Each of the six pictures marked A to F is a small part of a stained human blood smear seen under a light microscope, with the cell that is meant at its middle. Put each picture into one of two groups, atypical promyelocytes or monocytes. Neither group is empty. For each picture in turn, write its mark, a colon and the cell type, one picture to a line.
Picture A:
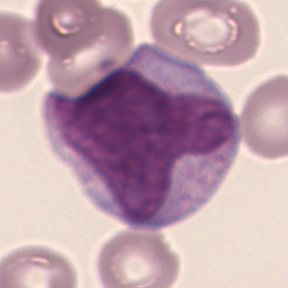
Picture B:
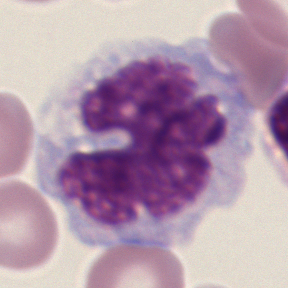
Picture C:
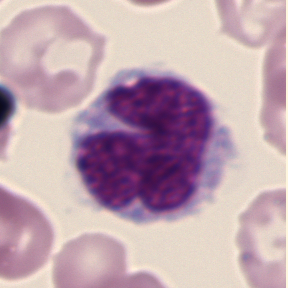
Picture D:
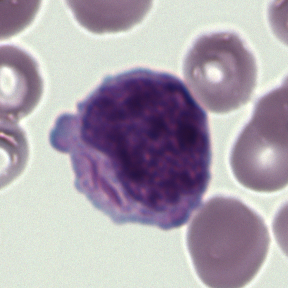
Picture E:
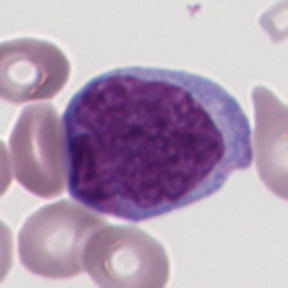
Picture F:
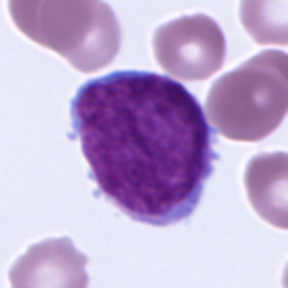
A: atypical promyelocyte
B: monocyte
C: monocyte
D: atypical promyelocyte
E: atypical promyelocyte
F: atypical promyelocyte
